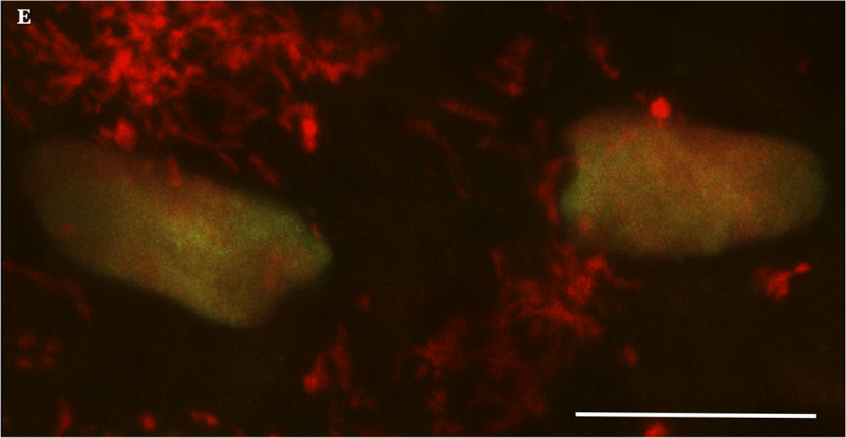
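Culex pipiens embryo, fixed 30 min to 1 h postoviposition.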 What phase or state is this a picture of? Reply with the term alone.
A: two nuclei following the first division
